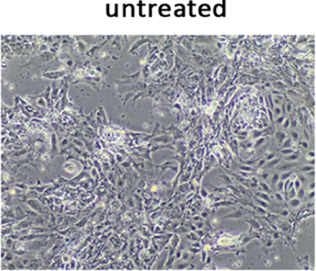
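The cells are flattened and irregular in shape, some spindle-shaped with bright refractile edges, others broad and spread. They form patchy groups and ridges rather than an even sheet, with darker open areas between them.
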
